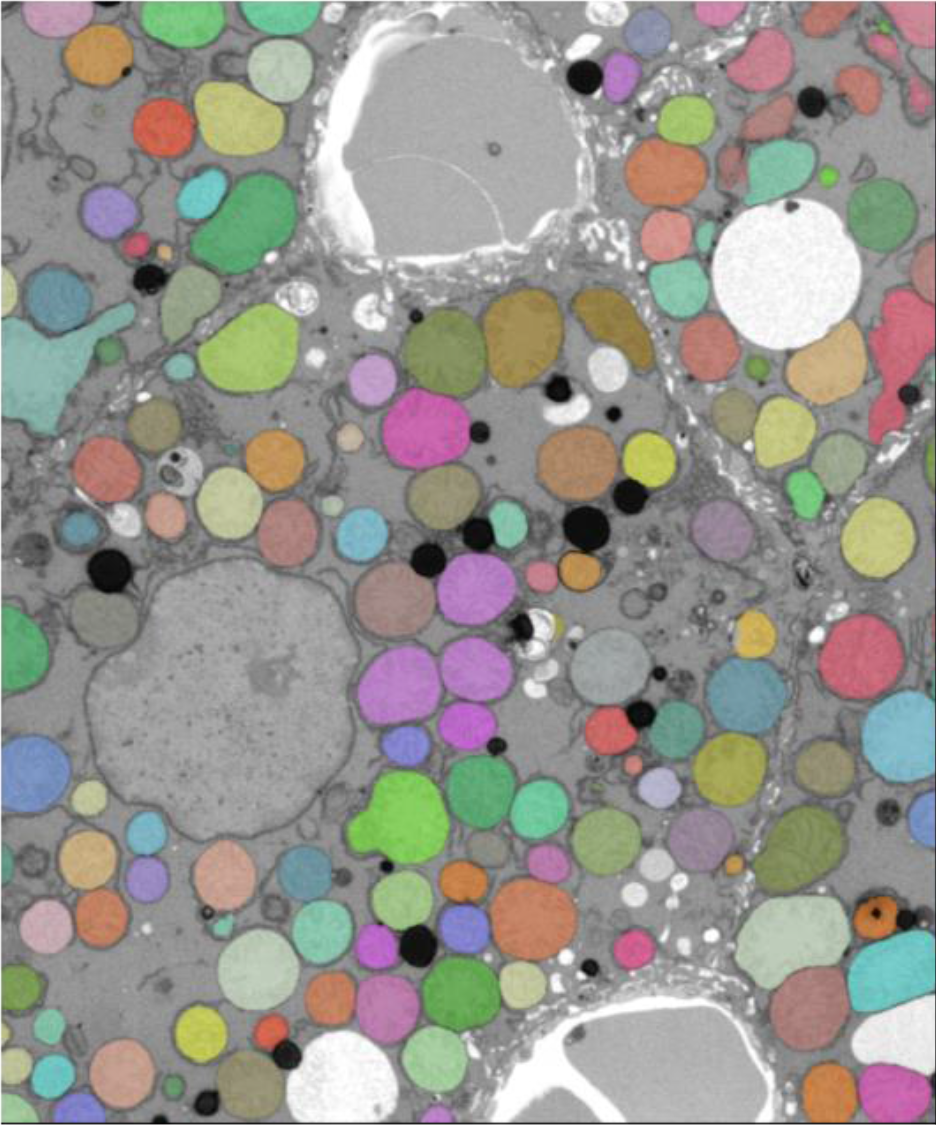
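This is liver tissue seen by electron microscopy, showing parts of several large liver cells. Scattered among them are small very dark round droplets and a few bright white round bodies. Borders between cells show as bright, folded membranous strips, and large pale open spaces at top and bottom mark spaces between the cells.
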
